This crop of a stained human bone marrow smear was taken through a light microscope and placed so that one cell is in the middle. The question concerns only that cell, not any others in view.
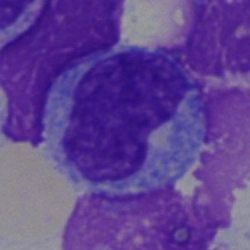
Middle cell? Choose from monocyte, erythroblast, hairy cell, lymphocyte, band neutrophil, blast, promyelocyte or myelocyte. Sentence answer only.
The cell in the middle of the field of view is a monocyte.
